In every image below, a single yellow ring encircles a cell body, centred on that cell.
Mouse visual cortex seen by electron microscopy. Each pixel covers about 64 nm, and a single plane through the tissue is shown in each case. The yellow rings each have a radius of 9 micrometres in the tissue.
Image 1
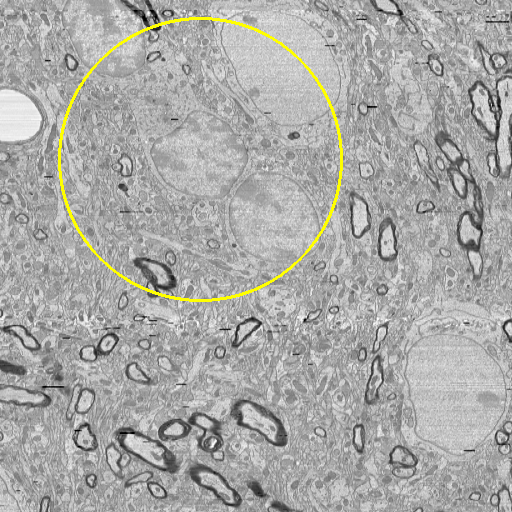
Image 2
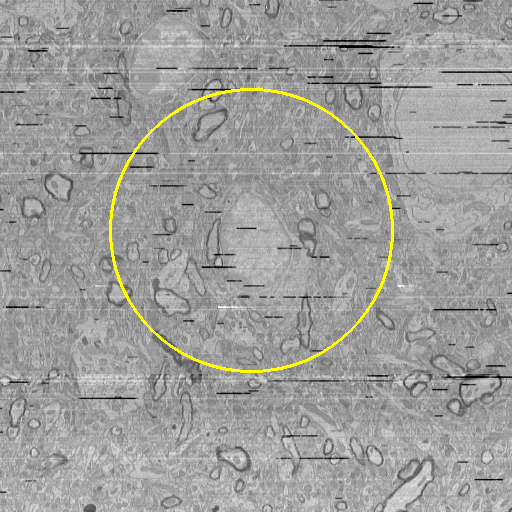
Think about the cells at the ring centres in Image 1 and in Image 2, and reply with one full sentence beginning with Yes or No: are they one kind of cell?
Yes, the cells centred in the rings of Image 1 and Image 2 are one kind of cell.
